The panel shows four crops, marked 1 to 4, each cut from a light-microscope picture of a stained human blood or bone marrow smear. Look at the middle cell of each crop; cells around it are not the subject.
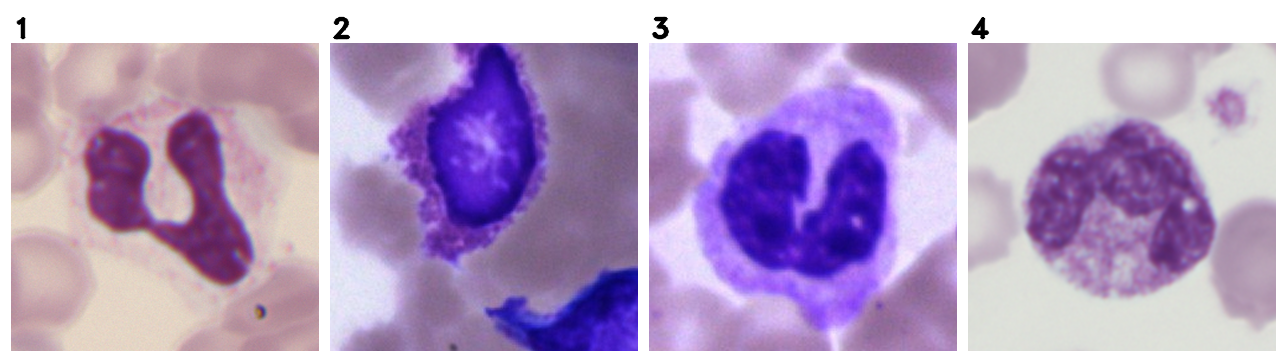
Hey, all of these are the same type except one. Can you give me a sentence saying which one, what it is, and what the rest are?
Crop 2 differs from the others in showing an eosinophil; the rest all show neutrophils.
